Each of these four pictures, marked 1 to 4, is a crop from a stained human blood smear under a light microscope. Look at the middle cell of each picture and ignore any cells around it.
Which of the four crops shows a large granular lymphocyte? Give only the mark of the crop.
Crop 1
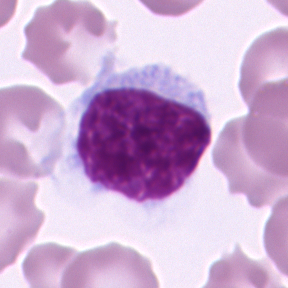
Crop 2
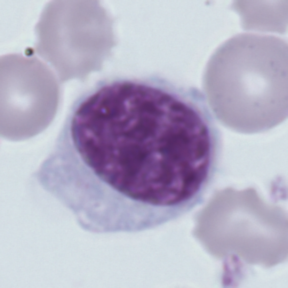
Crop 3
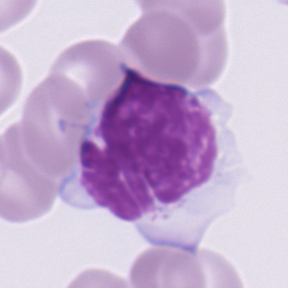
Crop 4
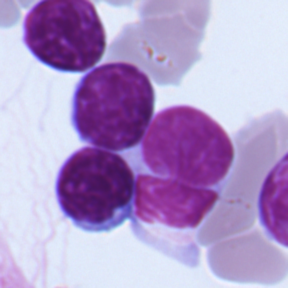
3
